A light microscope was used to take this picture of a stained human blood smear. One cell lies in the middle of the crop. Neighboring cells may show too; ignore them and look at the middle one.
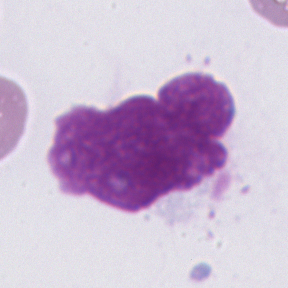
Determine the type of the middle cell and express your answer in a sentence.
In the crop, the cell of interest at the centre is a smudge cell.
